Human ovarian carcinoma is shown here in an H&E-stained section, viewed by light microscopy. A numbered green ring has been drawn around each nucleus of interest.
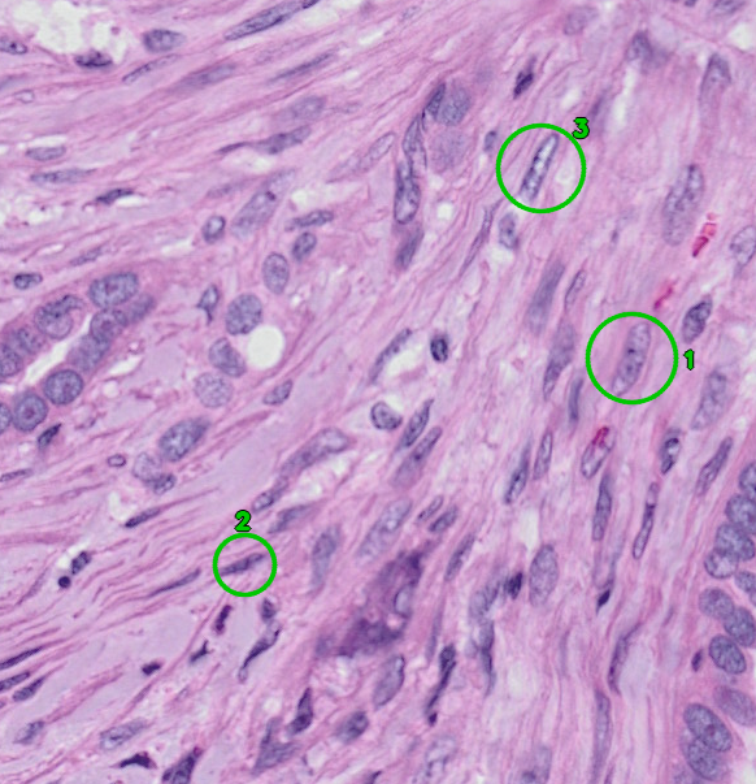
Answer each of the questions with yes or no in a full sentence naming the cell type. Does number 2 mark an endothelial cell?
No, an endothelial cell is not what cell 2 is; it is a fibroblast.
